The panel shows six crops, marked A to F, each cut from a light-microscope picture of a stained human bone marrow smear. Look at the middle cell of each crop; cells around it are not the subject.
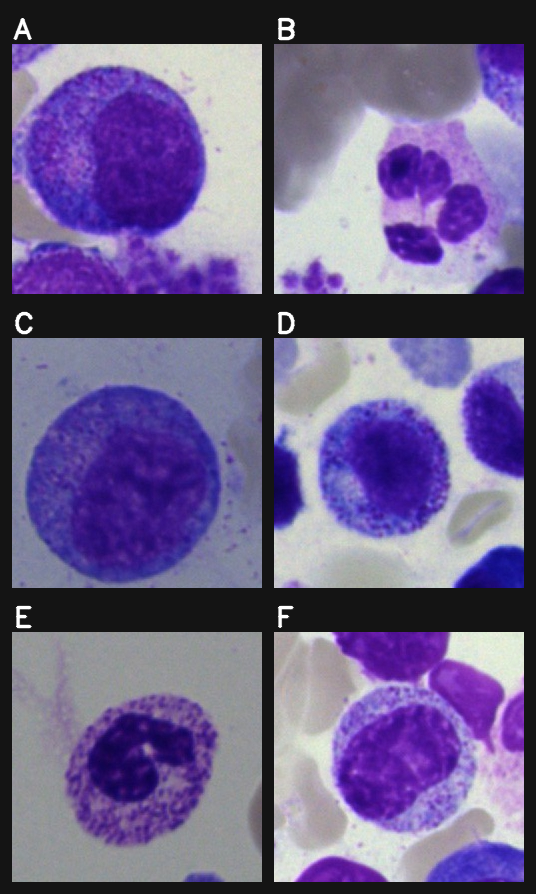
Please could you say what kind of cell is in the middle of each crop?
A: promyelocyte
B: segmented neutrophil
C: promyelocyte
D: promyelocyte
E: segmented neutrophil
F: myelocyte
